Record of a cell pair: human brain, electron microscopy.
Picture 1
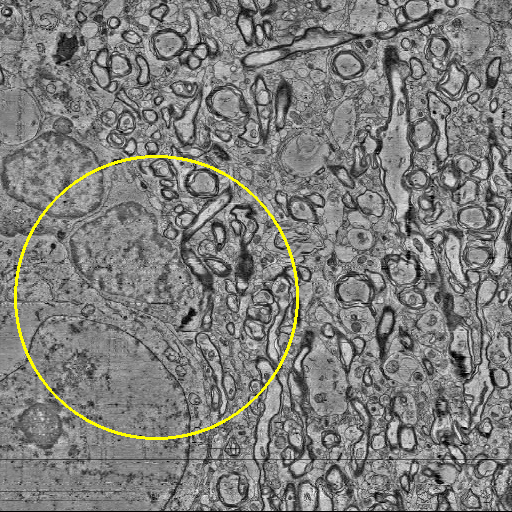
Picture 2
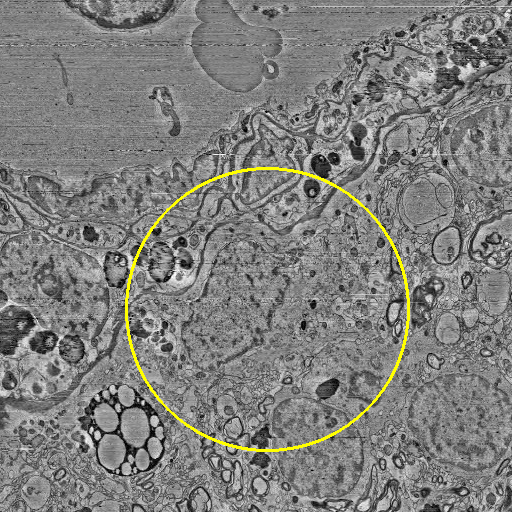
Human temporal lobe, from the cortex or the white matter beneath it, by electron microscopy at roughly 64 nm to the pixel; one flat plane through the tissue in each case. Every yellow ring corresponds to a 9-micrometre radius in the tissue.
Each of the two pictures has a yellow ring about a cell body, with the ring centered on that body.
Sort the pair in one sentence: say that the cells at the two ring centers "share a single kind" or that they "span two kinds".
The cells centered in the rings of Pictures 1 and 2 span two kinds.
